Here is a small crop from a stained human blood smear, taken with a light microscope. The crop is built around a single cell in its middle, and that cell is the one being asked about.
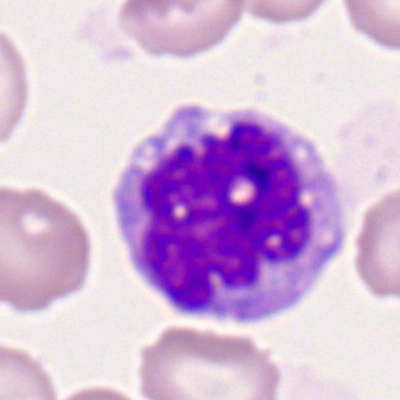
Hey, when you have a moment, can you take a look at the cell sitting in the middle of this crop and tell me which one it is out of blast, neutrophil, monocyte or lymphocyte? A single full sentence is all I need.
The single cell at the center of the crop is a monocyte.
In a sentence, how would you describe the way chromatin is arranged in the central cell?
The chromatin within its nucleus forms coarse clumps.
